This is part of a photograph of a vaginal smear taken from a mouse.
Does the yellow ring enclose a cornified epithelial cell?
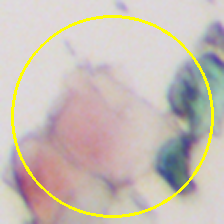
Yes. The ring encloses a cornified epithelial cell.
